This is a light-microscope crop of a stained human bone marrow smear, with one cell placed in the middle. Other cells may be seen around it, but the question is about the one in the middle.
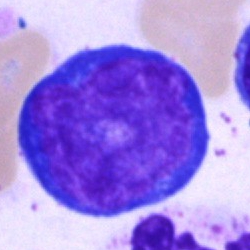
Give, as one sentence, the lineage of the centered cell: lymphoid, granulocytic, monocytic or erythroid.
The cell at the center of this crop is of erythroid lineage.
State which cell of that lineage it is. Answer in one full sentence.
Classification of the middle cell gives a proerythroblast.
